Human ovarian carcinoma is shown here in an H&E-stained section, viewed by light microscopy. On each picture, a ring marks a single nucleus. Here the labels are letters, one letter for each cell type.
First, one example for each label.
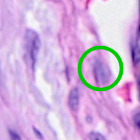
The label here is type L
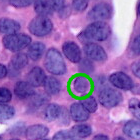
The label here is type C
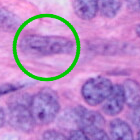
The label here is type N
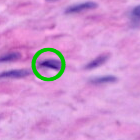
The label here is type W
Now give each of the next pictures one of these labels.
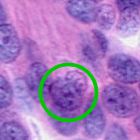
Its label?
type C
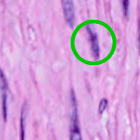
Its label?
type N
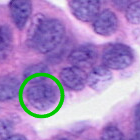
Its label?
type C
